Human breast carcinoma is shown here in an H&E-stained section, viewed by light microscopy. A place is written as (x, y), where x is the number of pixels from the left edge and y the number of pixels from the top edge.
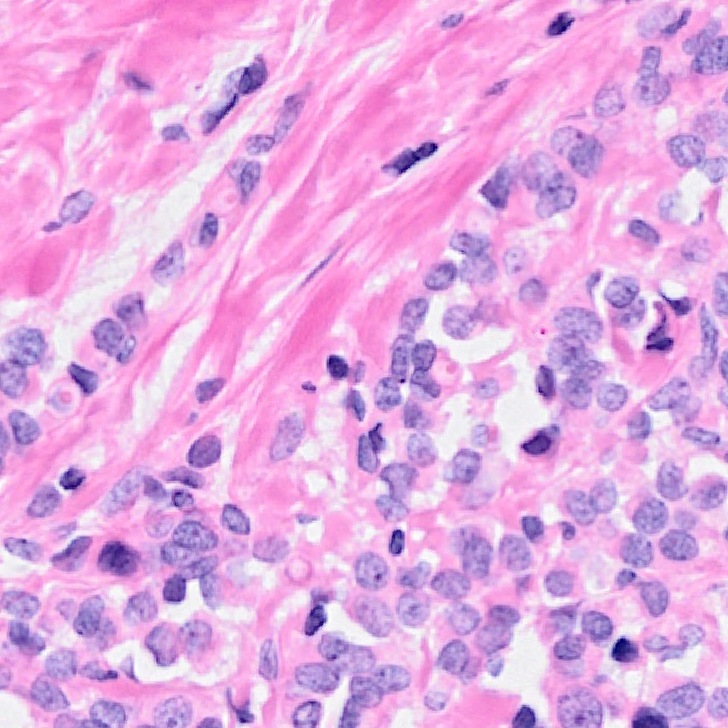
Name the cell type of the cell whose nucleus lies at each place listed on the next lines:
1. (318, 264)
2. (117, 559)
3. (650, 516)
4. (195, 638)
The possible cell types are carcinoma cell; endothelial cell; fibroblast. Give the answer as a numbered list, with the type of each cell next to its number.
1. fibroblast
2. carcinoma cell
3. carcinoma cell
4. carcinoma cell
